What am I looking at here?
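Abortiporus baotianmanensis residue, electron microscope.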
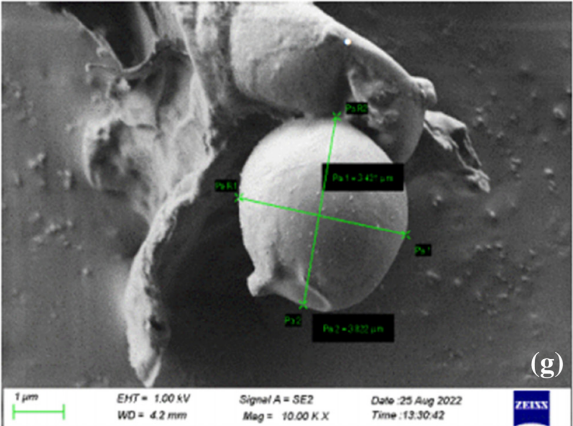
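One end is slightly narrowed, where it may once have been attached. The spore rests on a smooth background scattered with tiny particles. A curved, folded fold of thin material partly wraps around it from the upper left.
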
